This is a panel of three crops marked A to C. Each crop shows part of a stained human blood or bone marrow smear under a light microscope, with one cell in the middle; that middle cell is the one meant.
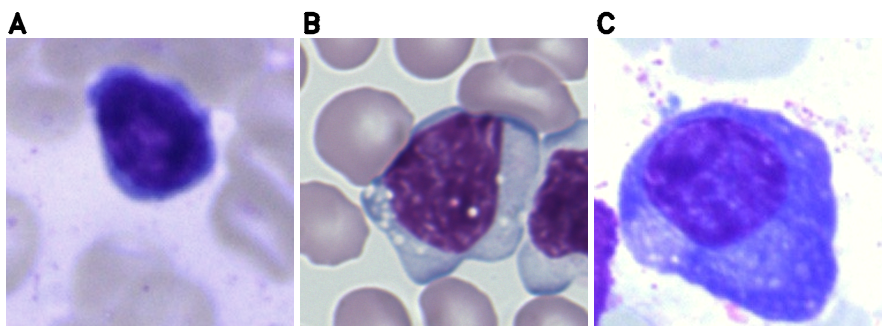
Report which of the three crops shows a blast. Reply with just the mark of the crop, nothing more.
B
